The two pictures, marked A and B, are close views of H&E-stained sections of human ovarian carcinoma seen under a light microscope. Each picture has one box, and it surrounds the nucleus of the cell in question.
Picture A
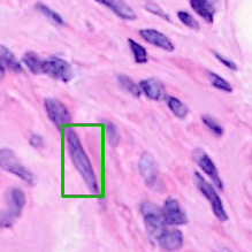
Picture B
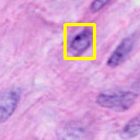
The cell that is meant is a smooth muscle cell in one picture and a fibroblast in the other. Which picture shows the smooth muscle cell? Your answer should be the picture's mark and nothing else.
A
